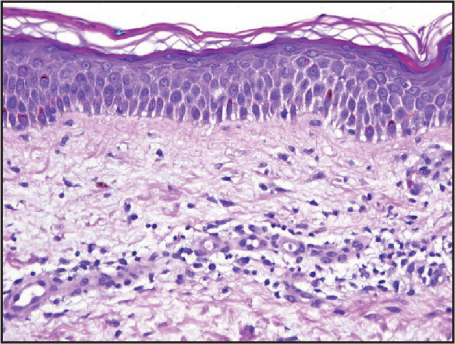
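This is skin, with a stratified squamous epidermis topped by a loose basket-weave layer of pink keratin. The keratinocytes have round nuclei and pink cytoplasm; the basal layer shows columnar cells, and small spaces between some cells suggest mild intercellular oedema. Beneath lies a pale, loosely arranged upper dermis with scattered spindle-shaped fibroblasts. In the superficial dermis small dark round nuclei of inflammatory cells accumulate, concentrated in a band around small blood vessels, which appear as round lumina lined by flattened endothelial cells.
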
